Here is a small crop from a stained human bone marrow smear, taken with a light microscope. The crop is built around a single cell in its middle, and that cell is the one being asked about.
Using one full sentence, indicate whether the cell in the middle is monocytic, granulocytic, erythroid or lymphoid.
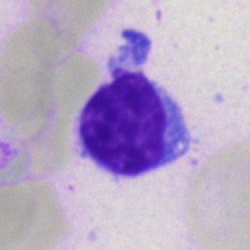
Designated lymphoid in lineage is the cell at the center of the crop.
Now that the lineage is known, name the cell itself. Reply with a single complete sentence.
Here the cell in the middle is a lymphocyte.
